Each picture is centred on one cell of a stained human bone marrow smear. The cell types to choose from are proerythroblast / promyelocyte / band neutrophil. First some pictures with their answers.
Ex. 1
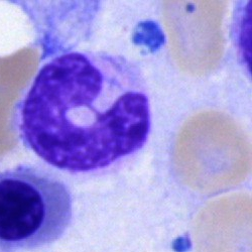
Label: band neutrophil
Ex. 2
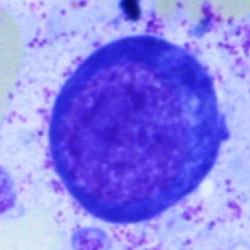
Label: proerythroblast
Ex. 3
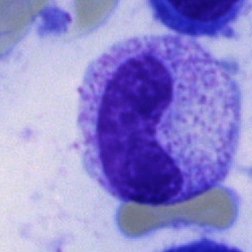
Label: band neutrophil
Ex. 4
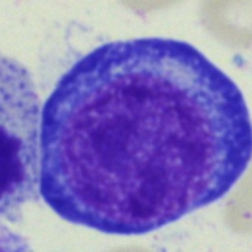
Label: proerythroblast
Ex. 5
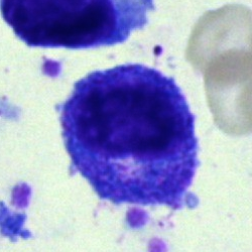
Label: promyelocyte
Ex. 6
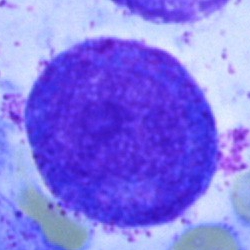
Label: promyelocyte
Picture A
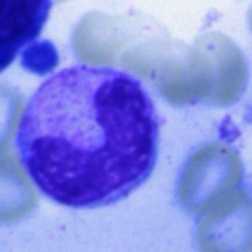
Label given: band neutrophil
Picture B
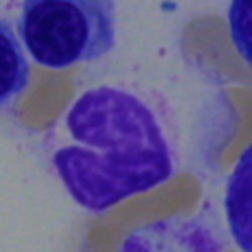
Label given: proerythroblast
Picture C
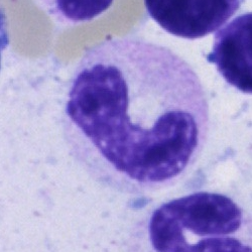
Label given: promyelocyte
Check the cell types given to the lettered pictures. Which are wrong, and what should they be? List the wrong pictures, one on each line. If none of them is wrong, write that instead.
B: band neutrophil, not proerythroblast
C: band neutrophil, not promyelocyte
